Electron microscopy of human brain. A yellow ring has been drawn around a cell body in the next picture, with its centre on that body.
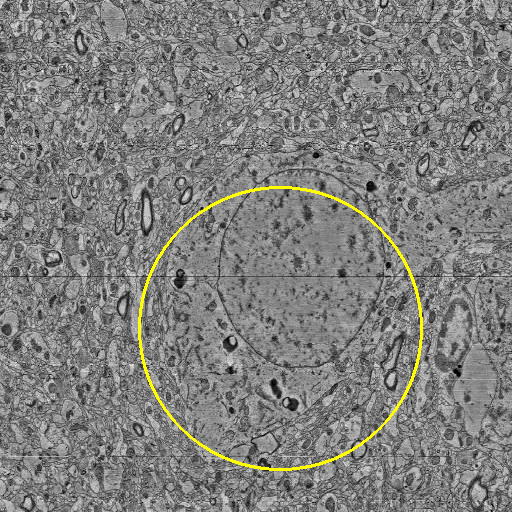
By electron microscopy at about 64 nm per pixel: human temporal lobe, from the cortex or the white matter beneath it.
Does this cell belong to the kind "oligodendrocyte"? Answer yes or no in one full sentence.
No, the ringed cell in this picture, sitting at the ring's centre, is of another kind.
